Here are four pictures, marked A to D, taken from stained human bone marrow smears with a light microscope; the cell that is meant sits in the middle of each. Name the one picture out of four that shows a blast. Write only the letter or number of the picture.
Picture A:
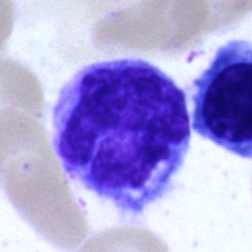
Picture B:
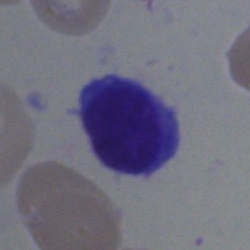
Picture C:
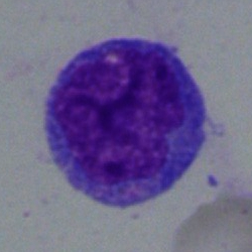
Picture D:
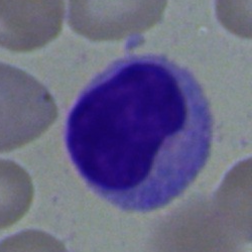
C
